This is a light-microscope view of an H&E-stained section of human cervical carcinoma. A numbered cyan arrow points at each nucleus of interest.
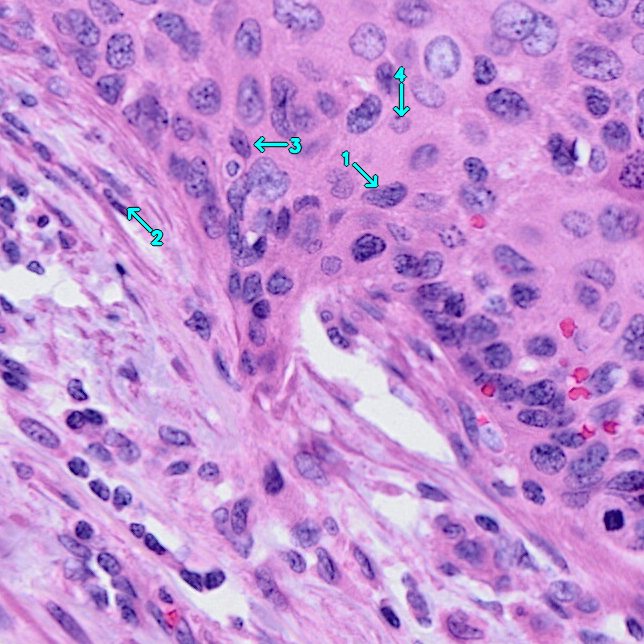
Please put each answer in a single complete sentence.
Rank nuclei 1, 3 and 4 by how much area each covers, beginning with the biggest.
Going from the biggest nucleus down to the smallest gives 1, 3, 4.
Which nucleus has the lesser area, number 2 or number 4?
The smaller nucleus is 4, and 2 covers roughly 2 times its area.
